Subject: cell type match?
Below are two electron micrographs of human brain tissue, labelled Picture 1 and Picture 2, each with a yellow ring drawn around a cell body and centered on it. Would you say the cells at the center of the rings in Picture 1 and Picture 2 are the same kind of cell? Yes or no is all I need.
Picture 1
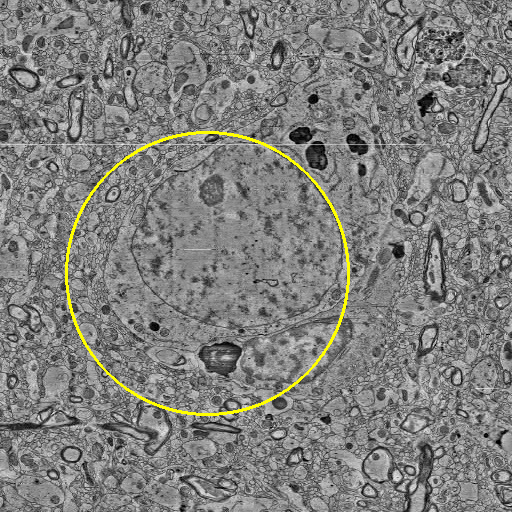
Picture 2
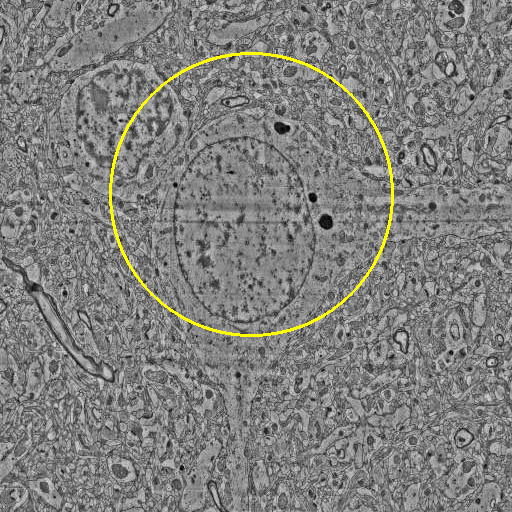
yes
